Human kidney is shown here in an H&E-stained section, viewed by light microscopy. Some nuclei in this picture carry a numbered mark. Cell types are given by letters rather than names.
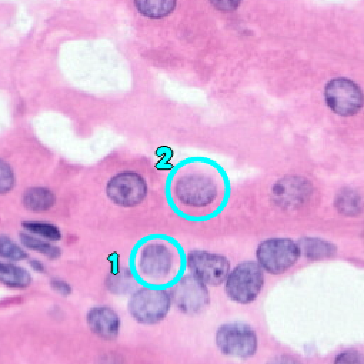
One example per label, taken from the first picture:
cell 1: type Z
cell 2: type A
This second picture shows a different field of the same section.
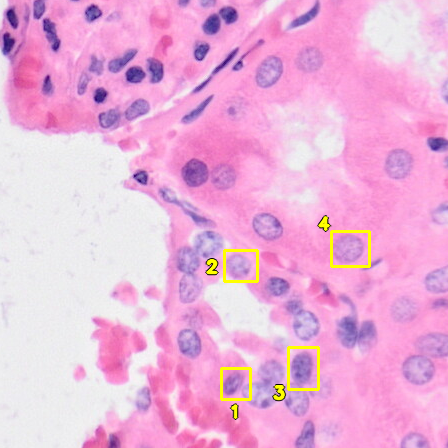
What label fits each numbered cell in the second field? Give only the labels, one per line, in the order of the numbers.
type Z
type Z
type Z
type A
